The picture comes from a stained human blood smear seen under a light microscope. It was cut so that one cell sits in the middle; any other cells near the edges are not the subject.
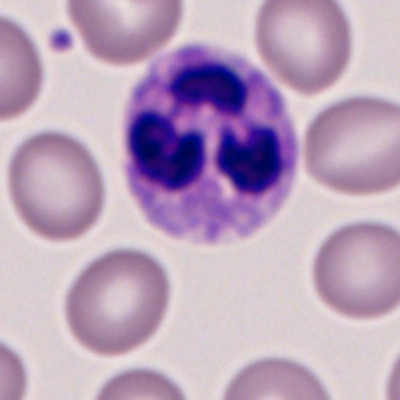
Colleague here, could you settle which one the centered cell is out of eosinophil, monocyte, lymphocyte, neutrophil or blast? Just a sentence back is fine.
Here the centrally located cell is a neutrophil.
